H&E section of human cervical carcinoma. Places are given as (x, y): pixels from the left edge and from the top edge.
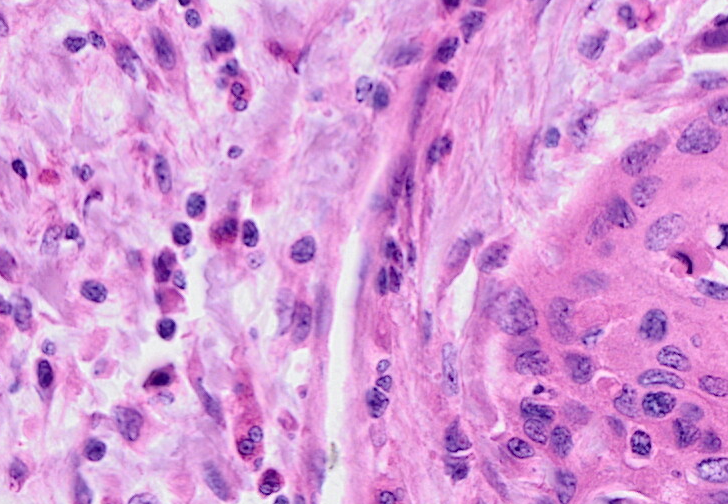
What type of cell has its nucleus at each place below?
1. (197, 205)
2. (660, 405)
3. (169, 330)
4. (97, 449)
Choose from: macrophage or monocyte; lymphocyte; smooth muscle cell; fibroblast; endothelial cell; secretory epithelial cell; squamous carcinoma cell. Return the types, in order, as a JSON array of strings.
["lymphocyte", "squamous carcinoma cell", "lymphocyte", "lymphocyte"]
